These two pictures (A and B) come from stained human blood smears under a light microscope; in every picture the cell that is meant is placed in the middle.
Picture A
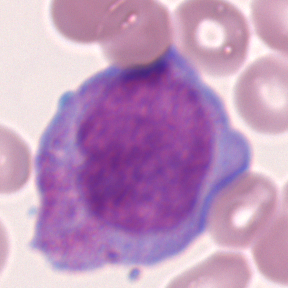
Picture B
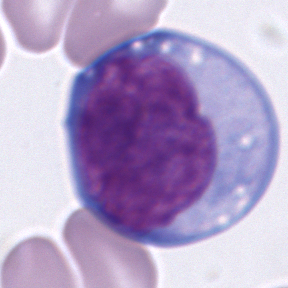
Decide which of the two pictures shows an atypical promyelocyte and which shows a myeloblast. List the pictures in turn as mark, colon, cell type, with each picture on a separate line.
A: atypical promyelocyte
B: myeloblast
